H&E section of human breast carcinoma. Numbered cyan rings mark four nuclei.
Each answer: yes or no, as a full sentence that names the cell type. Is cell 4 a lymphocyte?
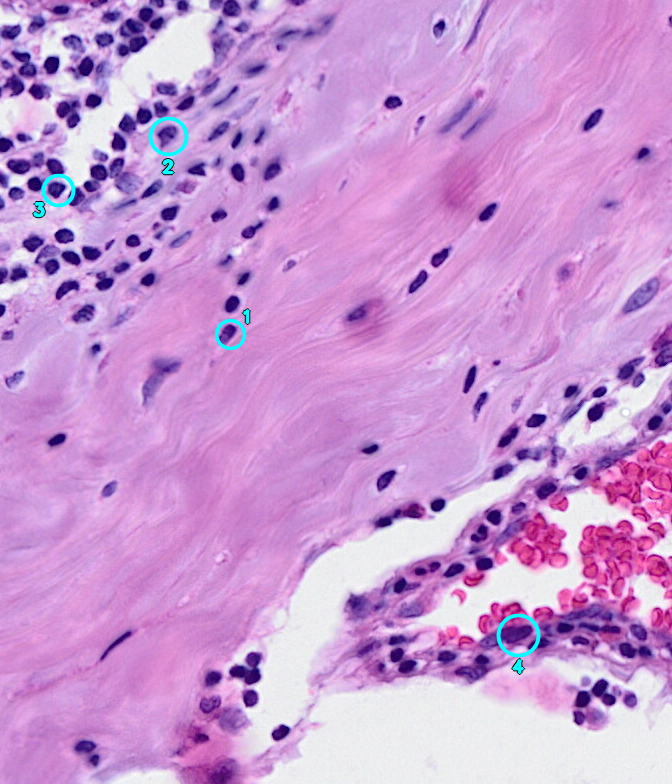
No, what number 4 shows is an endothelial cell, not a lymphocyte.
